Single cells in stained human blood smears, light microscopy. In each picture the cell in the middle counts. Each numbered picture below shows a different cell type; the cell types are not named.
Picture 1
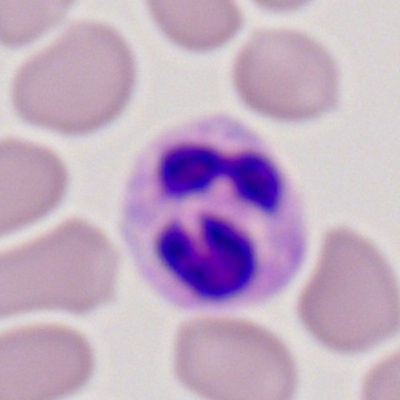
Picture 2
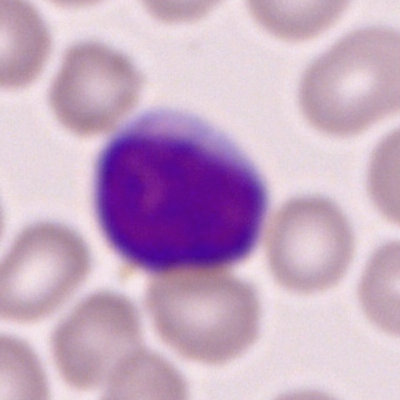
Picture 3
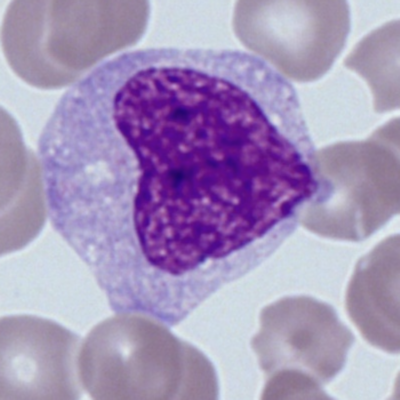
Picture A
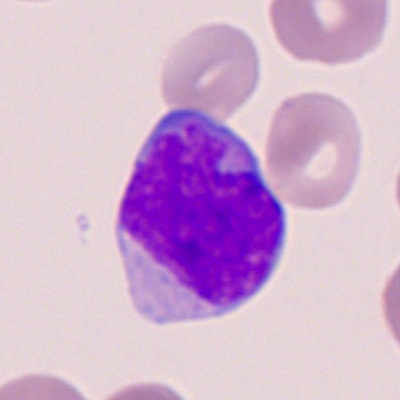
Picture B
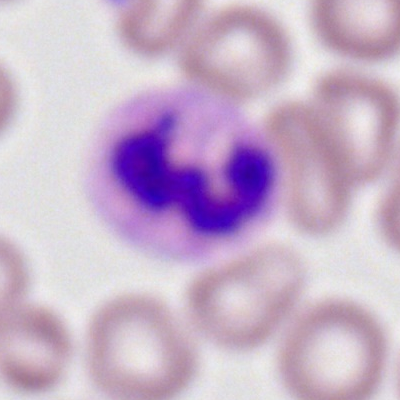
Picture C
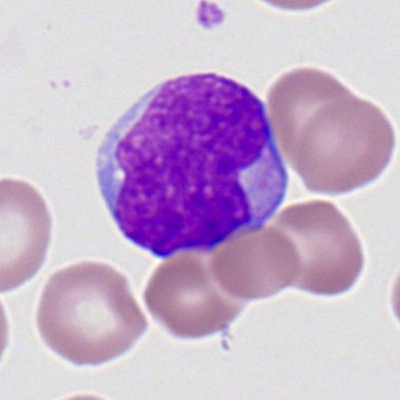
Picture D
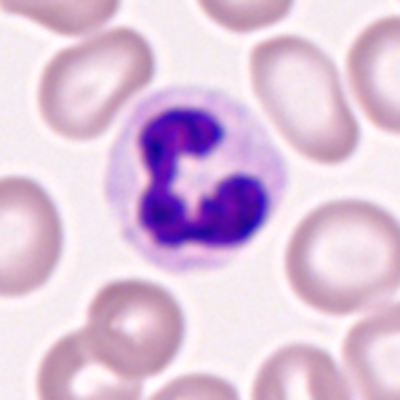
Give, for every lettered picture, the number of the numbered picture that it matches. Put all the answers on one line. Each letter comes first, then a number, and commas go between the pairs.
A 2, B 1, C 2, D 1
